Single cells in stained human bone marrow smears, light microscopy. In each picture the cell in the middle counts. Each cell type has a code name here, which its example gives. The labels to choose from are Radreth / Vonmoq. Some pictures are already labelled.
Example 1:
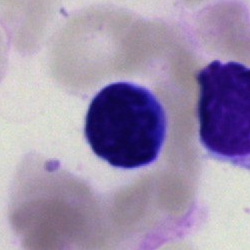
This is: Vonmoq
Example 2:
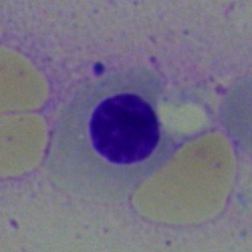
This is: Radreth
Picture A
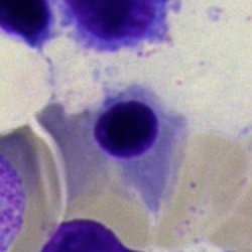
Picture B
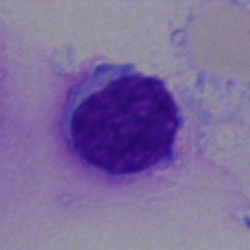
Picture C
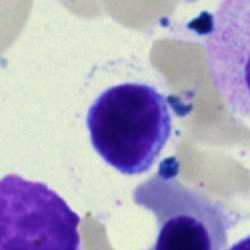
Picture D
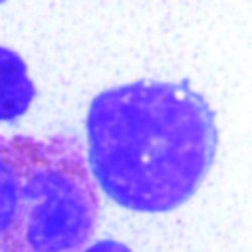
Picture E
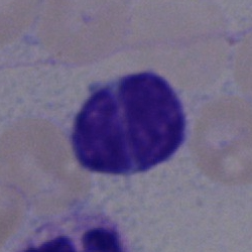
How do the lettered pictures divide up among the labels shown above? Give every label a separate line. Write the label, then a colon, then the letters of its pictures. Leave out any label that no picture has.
Radreth: A
Vonmoq: B, C, D, E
